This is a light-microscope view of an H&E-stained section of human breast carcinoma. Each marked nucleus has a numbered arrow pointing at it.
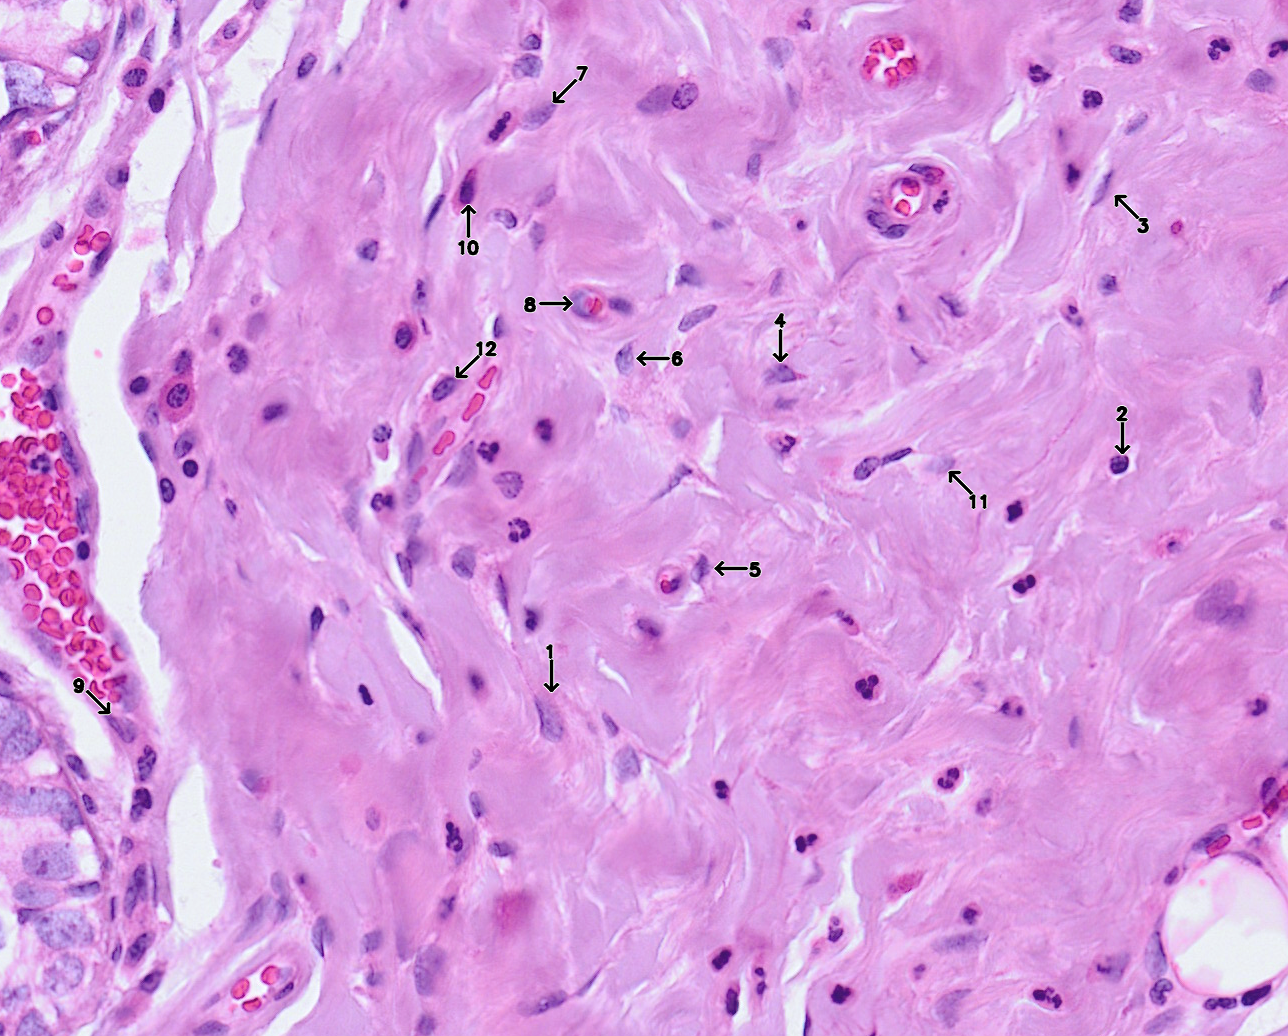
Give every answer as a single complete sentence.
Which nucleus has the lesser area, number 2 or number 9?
Number 2 is smaller, since number 9 takes up about 2 times as much area.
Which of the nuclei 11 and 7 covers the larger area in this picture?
Nucleus 7 is larger, with an area about 1.5 times that of nucleus 11.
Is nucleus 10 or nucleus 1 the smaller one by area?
Number 10 is smaller, since number 1 takes up about 3 times as much area.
